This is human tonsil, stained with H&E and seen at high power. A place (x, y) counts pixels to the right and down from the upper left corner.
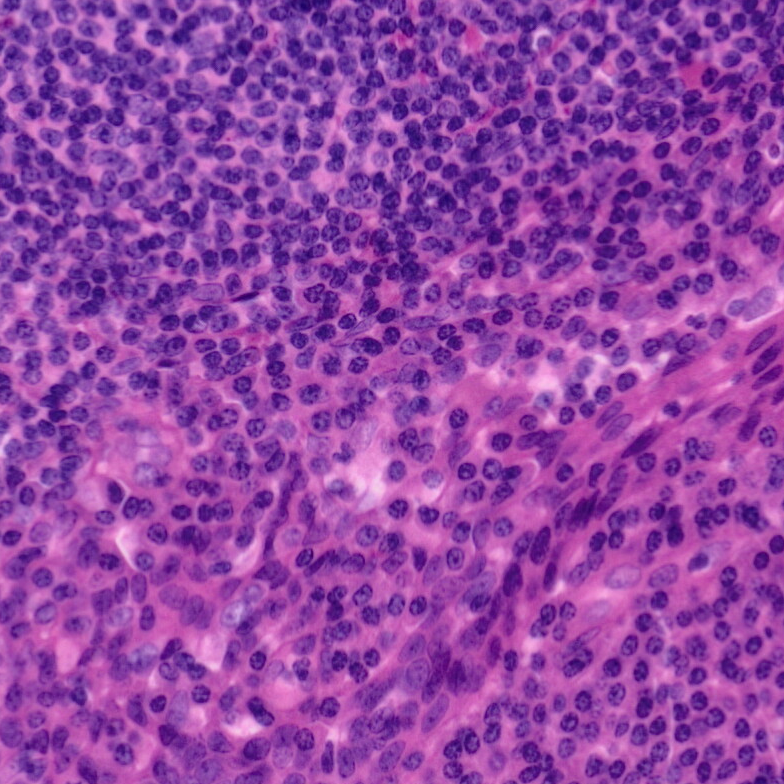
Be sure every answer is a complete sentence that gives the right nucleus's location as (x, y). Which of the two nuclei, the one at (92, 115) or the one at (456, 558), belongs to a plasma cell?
The nucleus at (456, 558) is attributed to a plasma cell, unlike the other nucleus.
